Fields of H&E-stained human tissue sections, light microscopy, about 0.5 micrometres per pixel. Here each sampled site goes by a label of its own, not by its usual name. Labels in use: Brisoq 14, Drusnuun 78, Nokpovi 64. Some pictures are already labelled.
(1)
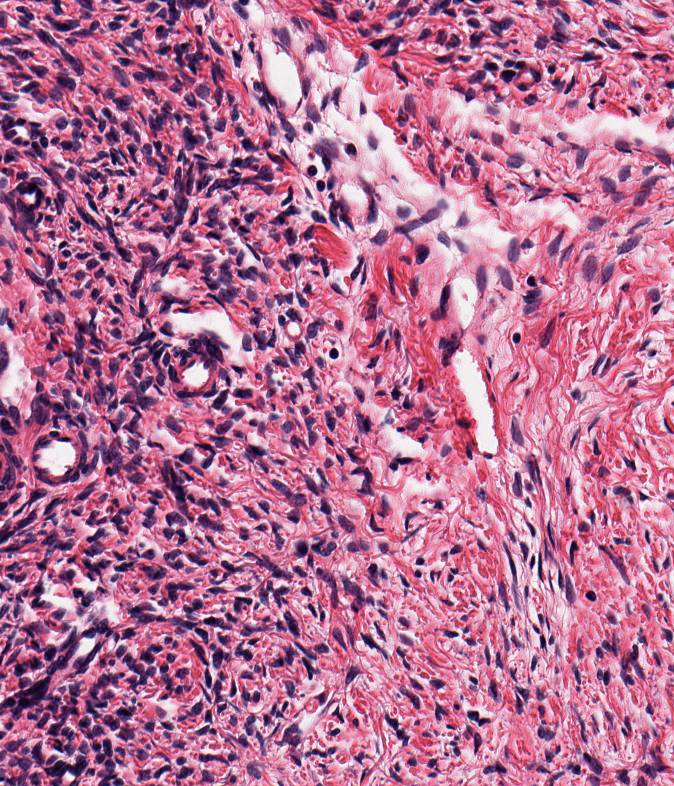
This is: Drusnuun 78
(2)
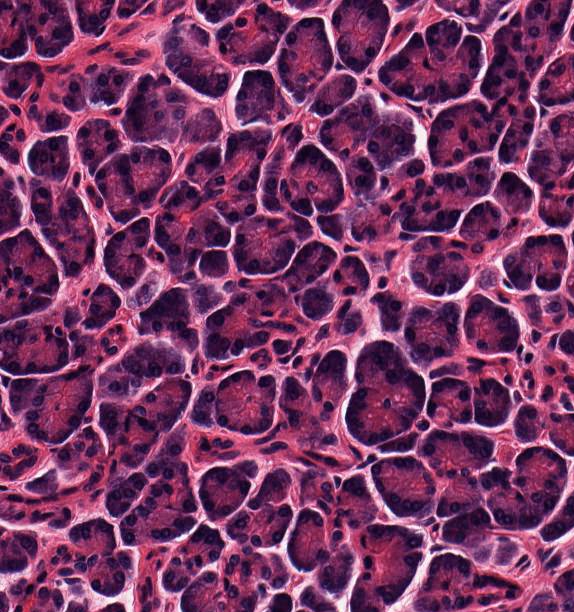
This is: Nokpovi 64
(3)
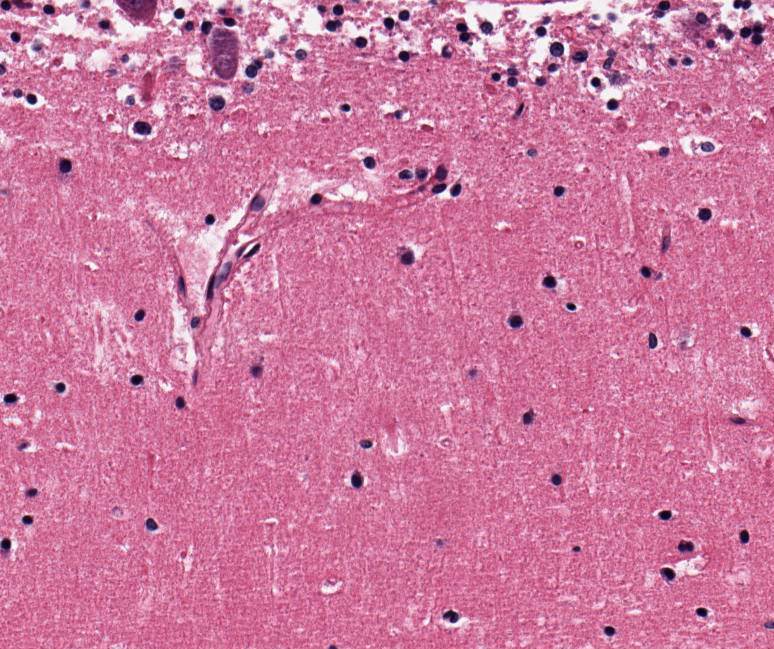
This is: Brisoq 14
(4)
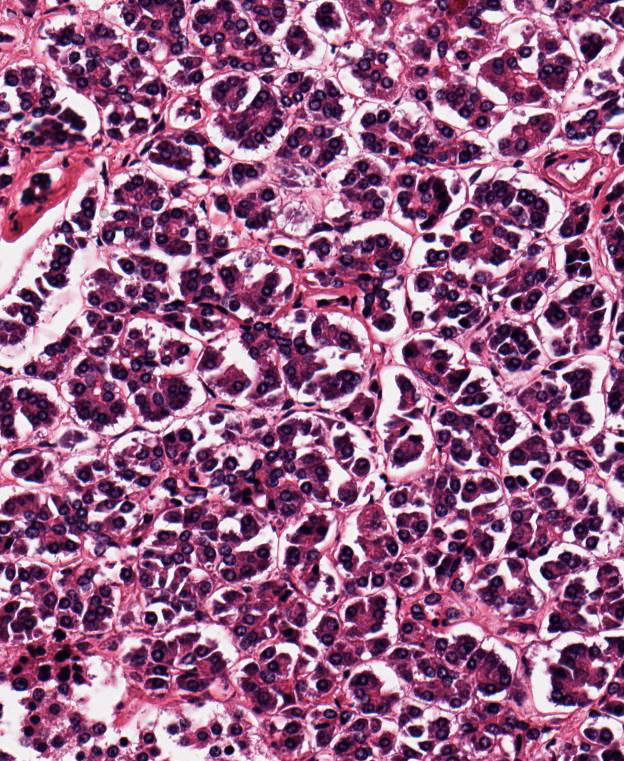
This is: Nokpovi 64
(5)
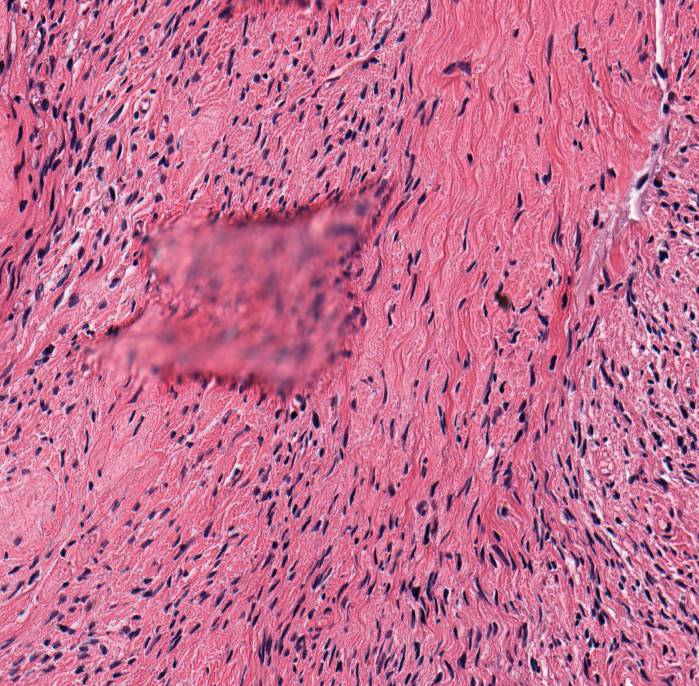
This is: Drusnuun 78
